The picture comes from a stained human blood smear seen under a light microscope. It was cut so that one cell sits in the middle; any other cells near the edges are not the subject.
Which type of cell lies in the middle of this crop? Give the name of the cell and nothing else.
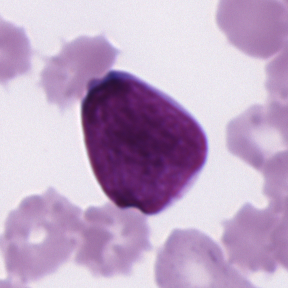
myeloblast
